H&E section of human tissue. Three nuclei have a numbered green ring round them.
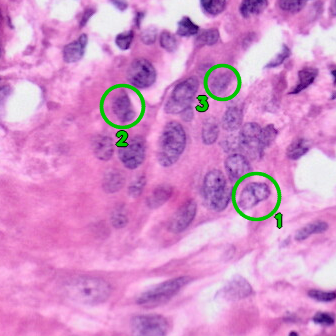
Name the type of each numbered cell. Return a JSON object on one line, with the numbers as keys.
{"1": "macrophage or monocyte", "2": "carcinoma cell", "3": "carcinoma cell"}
